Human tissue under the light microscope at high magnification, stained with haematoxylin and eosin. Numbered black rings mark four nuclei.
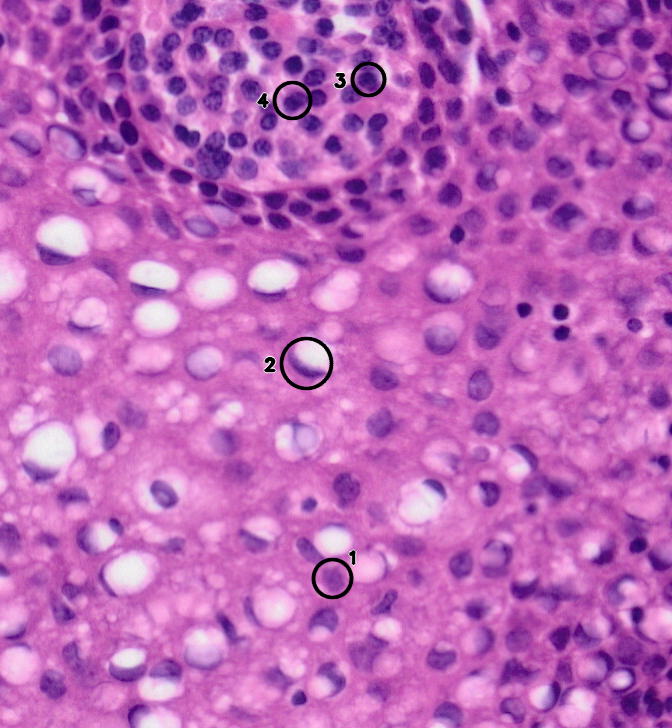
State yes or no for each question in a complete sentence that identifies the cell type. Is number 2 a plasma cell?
No, cell 2 is a squamous epithelial cell and should not be called a plasma cell.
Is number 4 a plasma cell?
Yes, the cell that the number 4 labels is a plasma cell.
